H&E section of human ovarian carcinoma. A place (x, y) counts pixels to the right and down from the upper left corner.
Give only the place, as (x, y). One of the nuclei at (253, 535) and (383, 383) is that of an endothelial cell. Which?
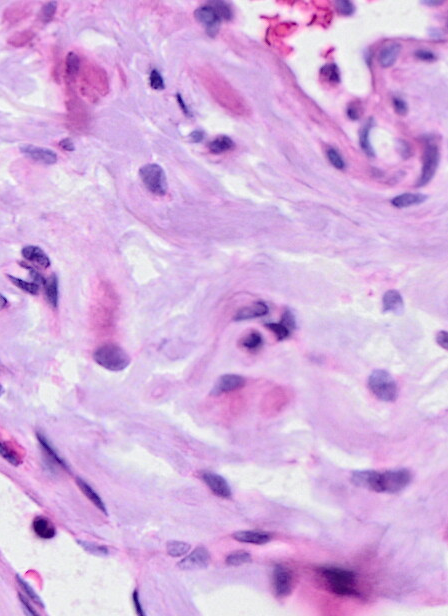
(253, 535)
